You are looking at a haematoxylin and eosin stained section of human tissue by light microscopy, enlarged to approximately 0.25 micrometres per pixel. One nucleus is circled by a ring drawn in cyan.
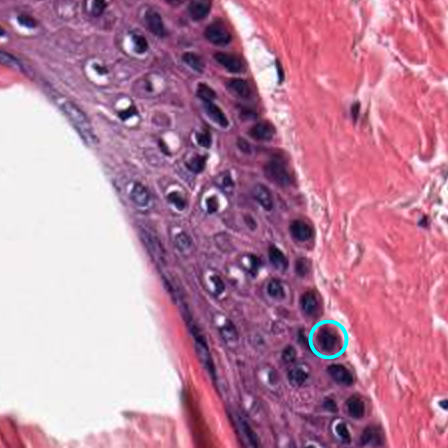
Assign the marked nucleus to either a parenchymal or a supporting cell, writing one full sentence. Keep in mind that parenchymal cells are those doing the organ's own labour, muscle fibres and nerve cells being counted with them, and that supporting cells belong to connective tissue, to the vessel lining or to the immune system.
Of the parenchymal cells, the one holding the marked nucleus is a keratinocyte.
